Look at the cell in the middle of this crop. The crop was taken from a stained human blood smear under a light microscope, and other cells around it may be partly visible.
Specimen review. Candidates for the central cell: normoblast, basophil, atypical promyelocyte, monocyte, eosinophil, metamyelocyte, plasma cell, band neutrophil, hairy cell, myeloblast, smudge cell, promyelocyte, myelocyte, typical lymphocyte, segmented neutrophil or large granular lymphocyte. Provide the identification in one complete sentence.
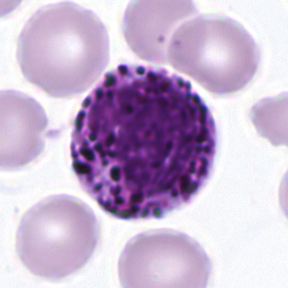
This particular crop is centered on a basophil.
